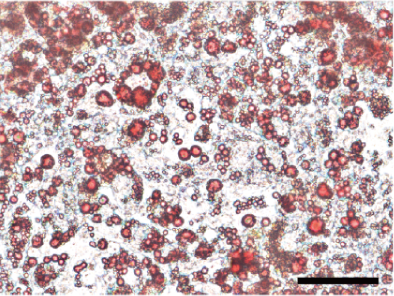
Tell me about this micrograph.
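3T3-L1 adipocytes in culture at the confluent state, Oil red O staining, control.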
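The droplets are round and vary widely in size, from tiny specks to larger globules a few micrometres across. Many cells are filled with clusters of small droplets, giving them a bubbly, grape-like look, while a few hold larger red droplets. Between the loaded cells lie paler, less stained areas where the cells carry few or no droplets.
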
